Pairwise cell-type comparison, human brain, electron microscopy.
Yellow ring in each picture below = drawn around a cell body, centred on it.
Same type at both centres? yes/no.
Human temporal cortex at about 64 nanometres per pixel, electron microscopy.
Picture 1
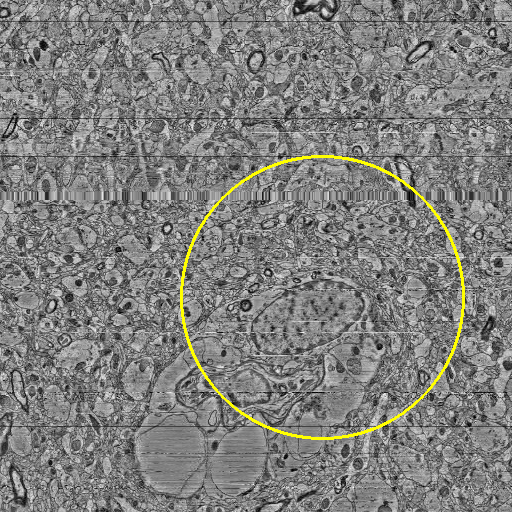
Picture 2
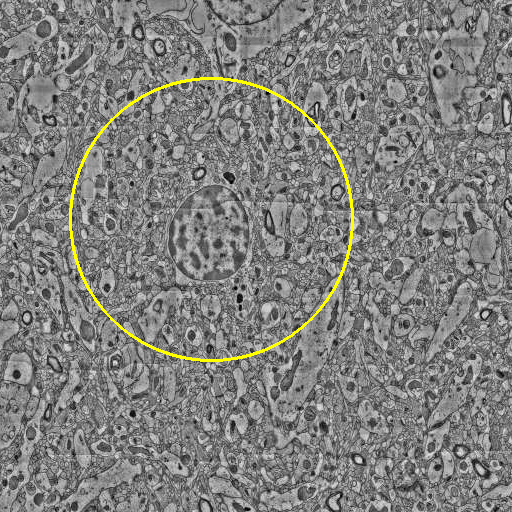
yes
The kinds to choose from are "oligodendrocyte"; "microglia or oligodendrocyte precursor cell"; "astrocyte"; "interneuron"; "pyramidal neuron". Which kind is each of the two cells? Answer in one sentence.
In each of the two pictures, the ringed cell is a microglial cell or oligodendrocyte precursor cell.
